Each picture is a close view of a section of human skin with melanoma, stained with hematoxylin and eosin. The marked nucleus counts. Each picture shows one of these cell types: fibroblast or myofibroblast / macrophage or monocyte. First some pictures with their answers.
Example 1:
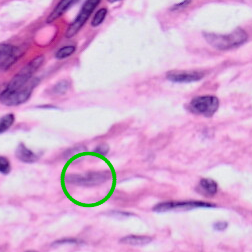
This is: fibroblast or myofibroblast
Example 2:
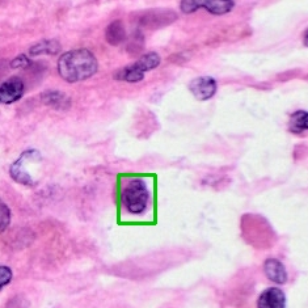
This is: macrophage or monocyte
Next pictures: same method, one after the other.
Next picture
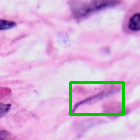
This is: fibroblast or myofibroblast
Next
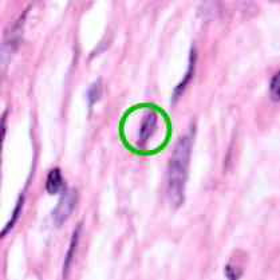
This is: fibroblast or myofibroblast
